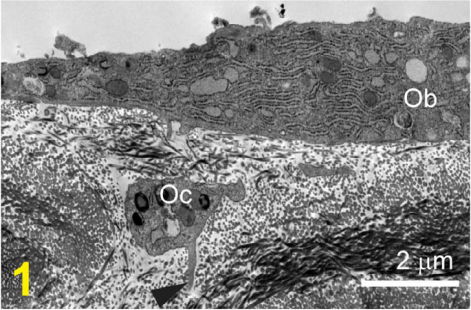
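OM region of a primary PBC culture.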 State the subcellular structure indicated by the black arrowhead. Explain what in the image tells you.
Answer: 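A process of the osteocyte-like cell. A thin cytoplasmic extension runs downward from the small embedded cell body. The extension tapers into the surrounding fibrillar matrix.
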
